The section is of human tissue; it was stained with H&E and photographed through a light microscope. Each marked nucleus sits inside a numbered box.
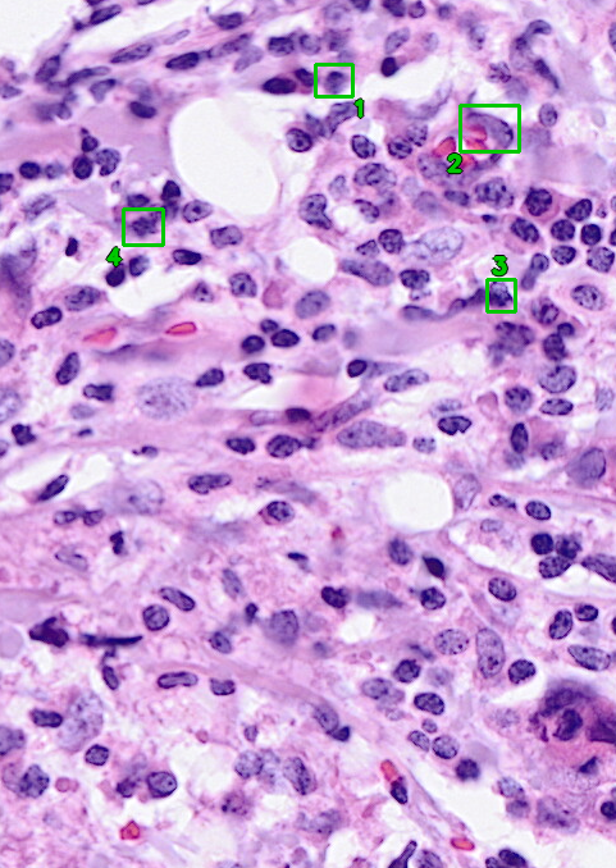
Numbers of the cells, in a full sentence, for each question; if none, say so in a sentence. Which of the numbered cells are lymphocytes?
The cells assigned the numbers 1, 3 and 4 are lymphocytes.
